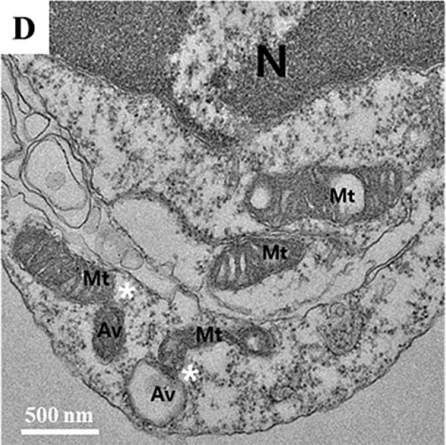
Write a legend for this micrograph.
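Membrane-bound autophagic vacuoles lie directly beside mitochondria, with their contact sites marked by asterisks. Further membrane-bound spaces and folded membranes lie near the cell margin.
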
